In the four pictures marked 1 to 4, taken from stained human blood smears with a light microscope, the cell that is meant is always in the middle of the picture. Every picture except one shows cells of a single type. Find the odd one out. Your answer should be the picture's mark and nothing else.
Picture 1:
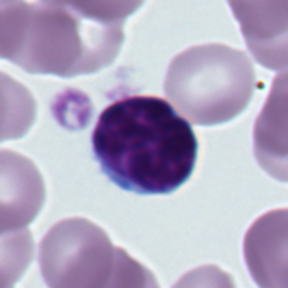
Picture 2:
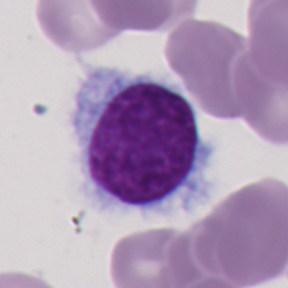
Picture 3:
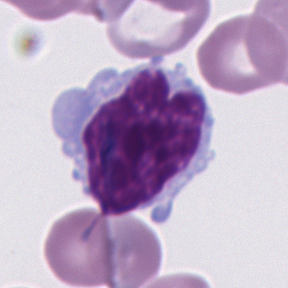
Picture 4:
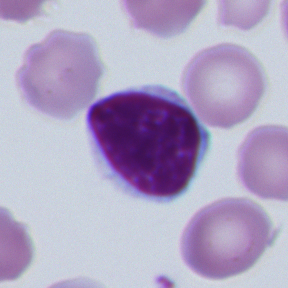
2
